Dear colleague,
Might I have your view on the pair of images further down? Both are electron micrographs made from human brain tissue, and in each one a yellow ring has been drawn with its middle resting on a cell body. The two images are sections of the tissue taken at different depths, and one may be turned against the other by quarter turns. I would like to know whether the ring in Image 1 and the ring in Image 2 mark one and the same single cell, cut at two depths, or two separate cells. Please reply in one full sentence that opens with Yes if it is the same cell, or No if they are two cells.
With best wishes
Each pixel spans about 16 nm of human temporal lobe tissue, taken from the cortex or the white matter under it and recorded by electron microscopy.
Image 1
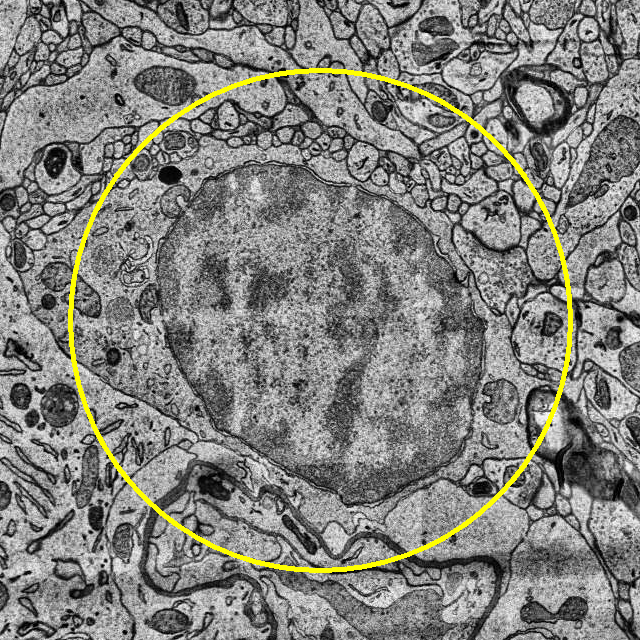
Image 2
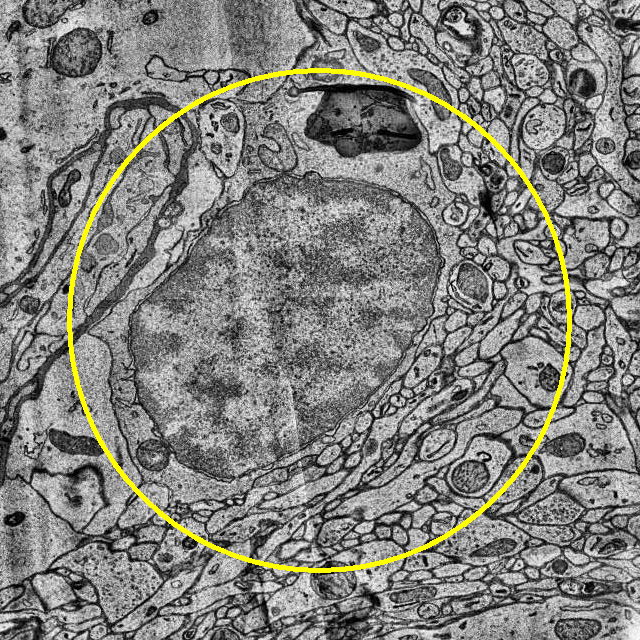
Yes, the two marked outlines come from one and the same cell.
